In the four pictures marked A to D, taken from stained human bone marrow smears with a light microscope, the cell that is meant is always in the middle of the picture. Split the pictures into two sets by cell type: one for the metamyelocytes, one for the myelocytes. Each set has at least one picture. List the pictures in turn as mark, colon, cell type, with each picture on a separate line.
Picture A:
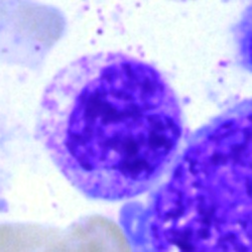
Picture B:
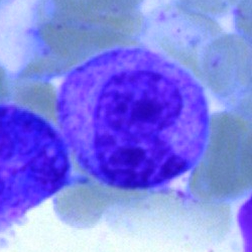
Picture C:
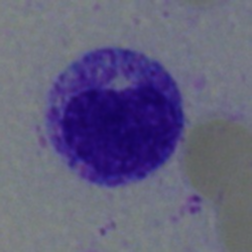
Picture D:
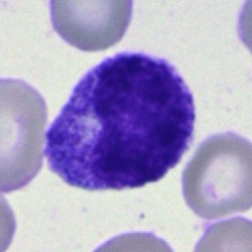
A: myelocyte
B: metamyelocyte
C: metamyelocyte
D: metamyelocyte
